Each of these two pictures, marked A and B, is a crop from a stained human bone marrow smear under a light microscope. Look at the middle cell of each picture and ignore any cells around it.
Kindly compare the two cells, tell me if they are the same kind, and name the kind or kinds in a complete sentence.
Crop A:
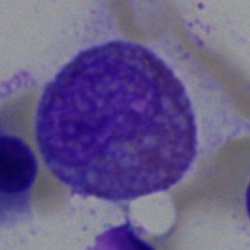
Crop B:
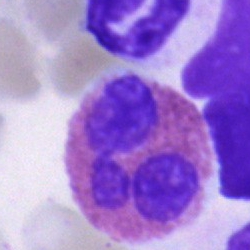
Yes, both crops show eosinophils, one in each.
